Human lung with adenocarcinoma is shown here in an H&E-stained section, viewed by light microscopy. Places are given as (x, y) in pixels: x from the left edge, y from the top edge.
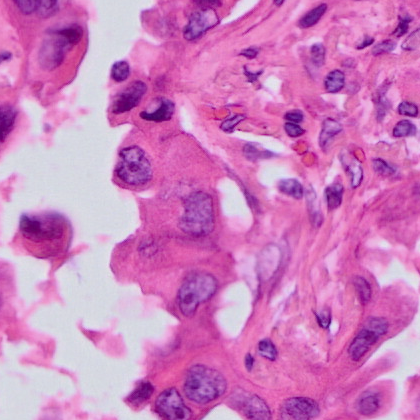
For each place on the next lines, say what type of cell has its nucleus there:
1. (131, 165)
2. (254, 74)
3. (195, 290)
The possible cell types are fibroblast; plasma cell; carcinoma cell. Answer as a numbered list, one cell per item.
1. carcinoma cell
2. fibroblast
3. carcinoma cell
